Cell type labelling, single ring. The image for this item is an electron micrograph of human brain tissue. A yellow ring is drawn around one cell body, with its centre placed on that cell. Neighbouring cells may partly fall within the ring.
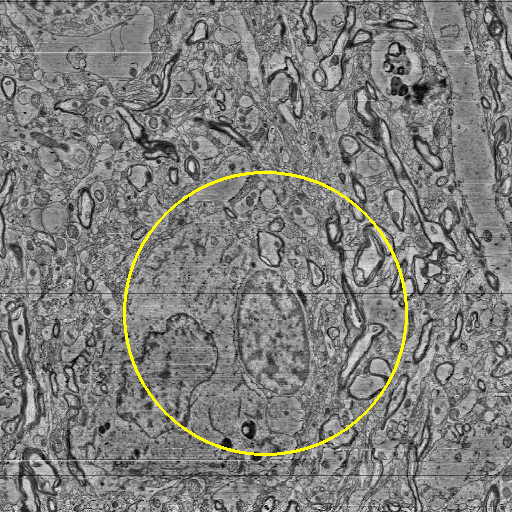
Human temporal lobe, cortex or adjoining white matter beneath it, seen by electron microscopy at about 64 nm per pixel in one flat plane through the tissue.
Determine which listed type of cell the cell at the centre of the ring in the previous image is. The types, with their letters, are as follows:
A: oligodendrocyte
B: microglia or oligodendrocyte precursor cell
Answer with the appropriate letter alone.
A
